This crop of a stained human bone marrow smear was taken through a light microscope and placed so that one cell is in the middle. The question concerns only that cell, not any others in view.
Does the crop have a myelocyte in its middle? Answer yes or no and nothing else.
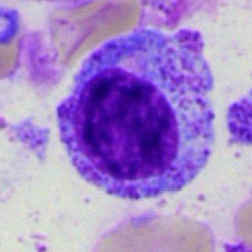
yes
